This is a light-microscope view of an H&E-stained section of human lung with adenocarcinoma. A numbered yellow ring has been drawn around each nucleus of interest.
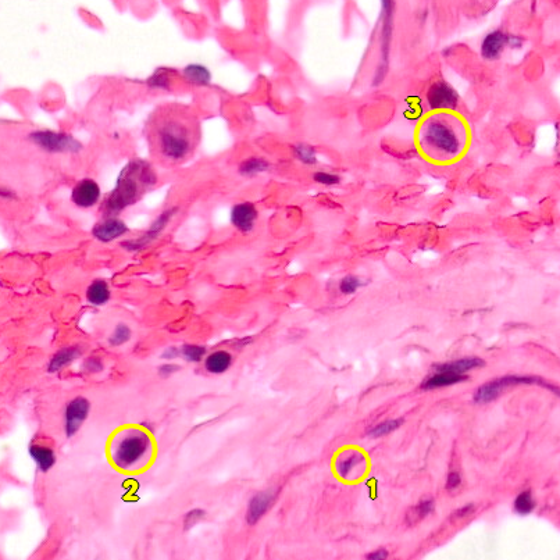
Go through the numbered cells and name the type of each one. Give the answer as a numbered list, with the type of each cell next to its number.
1. smooth muscle cell or pericyte
2. plasma cell
3. type I pneumocyte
